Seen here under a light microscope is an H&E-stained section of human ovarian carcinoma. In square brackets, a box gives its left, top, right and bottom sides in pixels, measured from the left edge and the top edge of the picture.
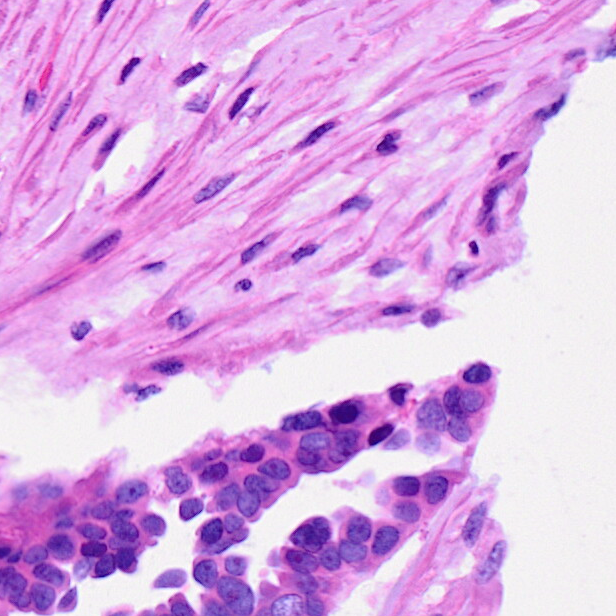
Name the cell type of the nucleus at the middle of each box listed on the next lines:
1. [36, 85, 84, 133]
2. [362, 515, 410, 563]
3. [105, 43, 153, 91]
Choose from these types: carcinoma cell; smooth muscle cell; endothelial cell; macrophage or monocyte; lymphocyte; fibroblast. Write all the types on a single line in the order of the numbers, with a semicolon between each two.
fibroblast; carcinoma cell; fibroblast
